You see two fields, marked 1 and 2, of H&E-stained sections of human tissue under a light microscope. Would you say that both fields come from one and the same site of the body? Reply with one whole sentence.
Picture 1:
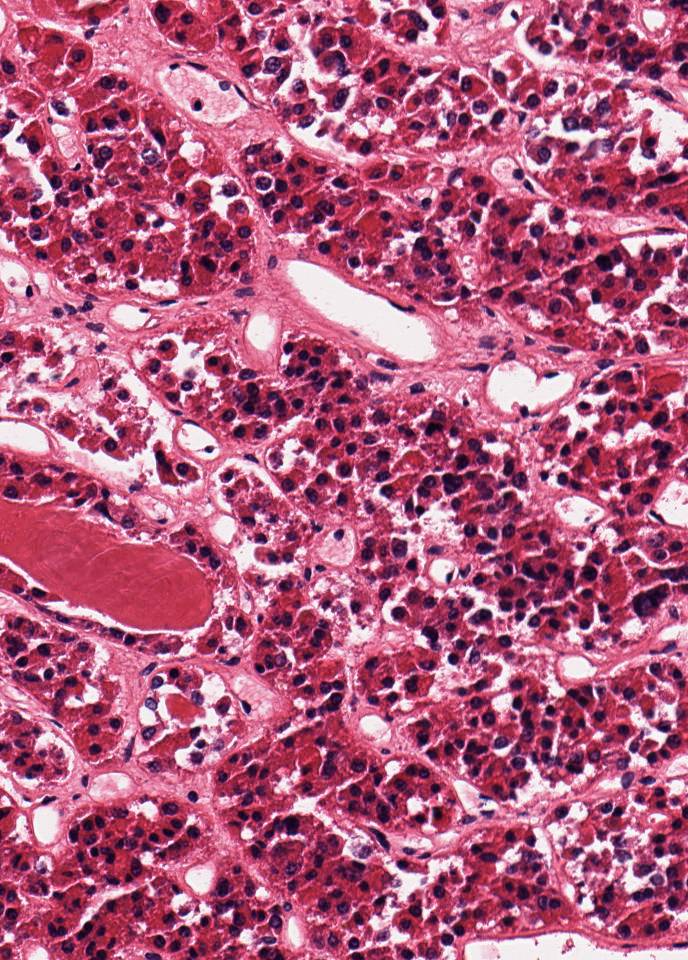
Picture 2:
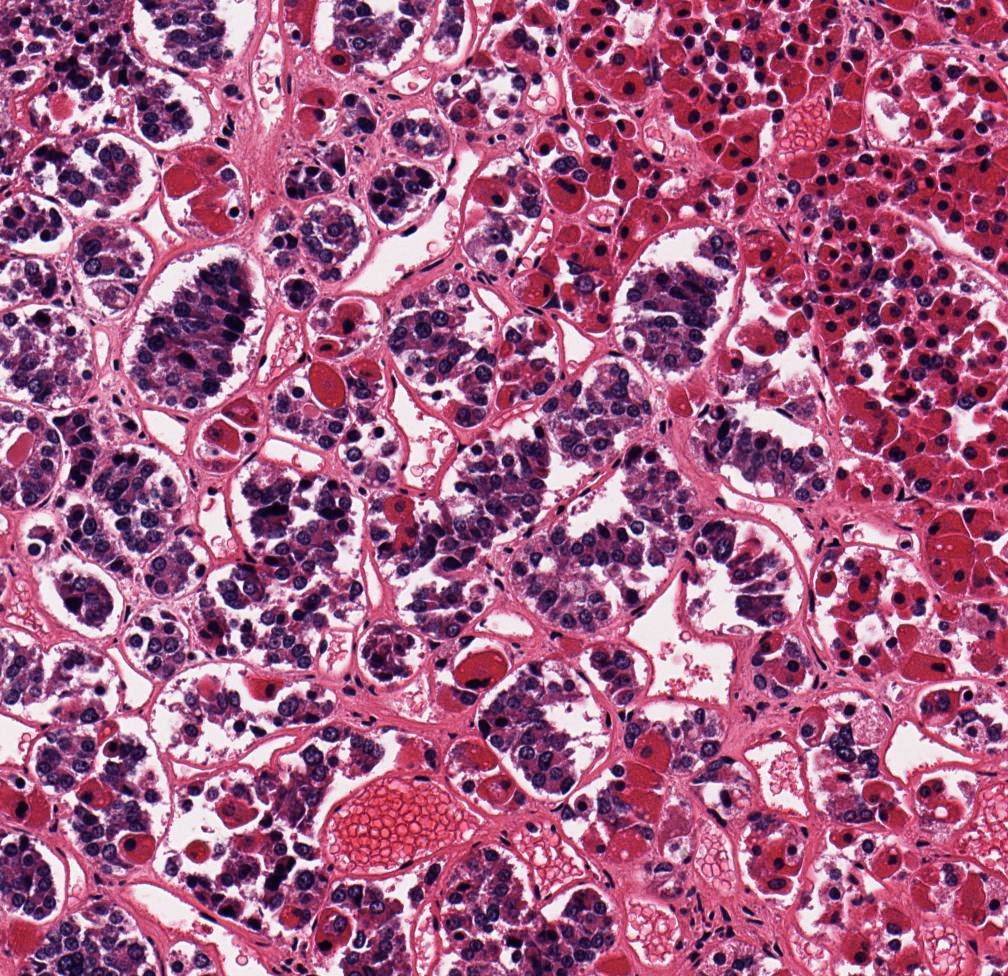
Yes, they come from the same site of the body: both come from the pituitary.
